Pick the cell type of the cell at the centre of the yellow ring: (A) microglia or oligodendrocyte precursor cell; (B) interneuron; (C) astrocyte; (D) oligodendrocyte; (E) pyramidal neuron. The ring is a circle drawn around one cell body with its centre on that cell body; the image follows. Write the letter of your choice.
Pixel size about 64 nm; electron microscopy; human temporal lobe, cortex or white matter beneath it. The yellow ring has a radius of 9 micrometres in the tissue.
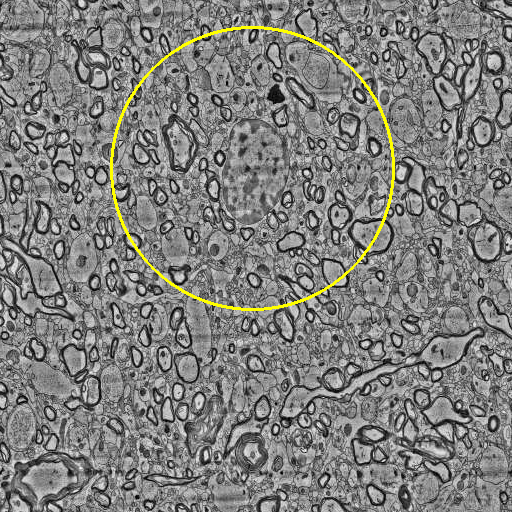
A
